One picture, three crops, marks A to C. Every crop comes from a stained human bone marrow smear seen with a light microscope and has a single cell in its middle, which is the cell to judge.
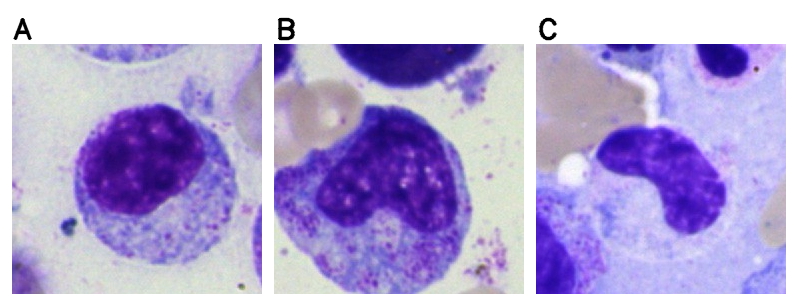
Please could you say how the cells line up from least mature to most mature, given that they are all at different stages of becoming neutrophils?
B, A, C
